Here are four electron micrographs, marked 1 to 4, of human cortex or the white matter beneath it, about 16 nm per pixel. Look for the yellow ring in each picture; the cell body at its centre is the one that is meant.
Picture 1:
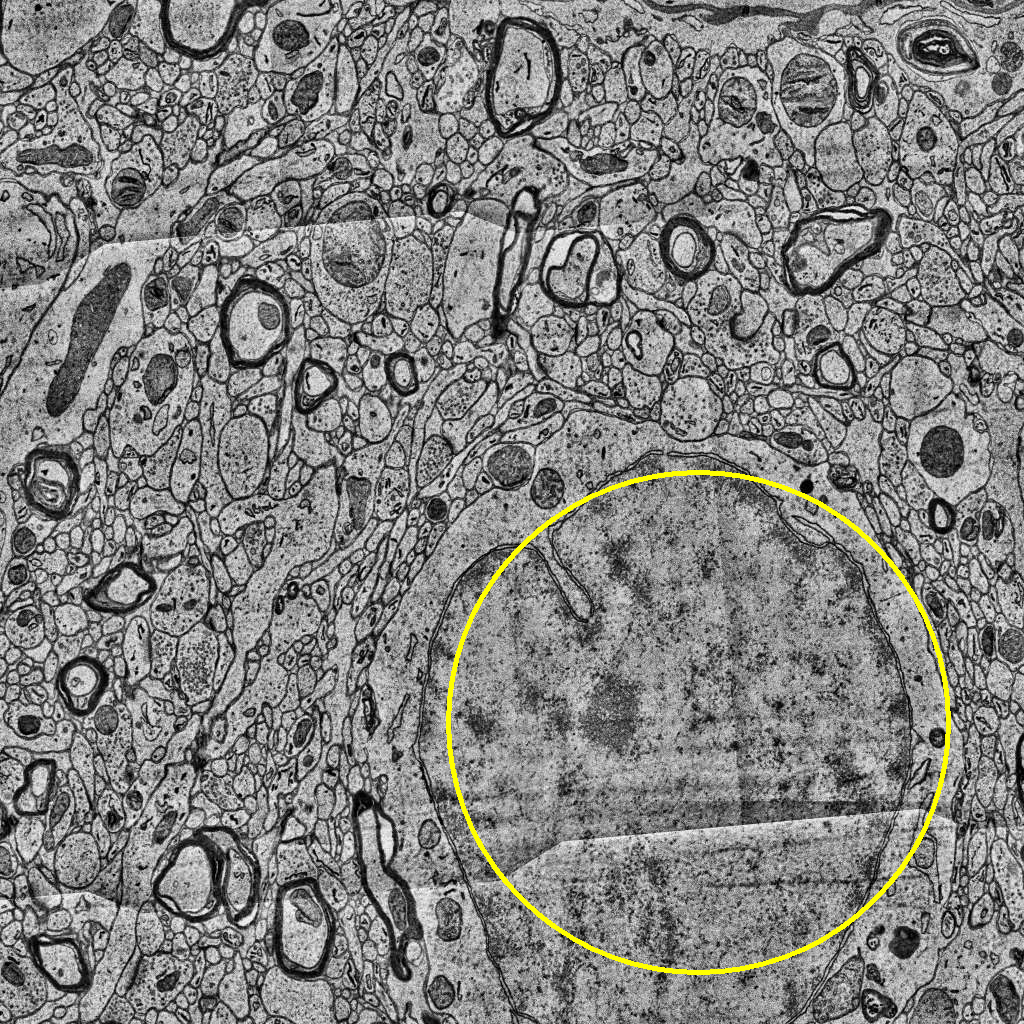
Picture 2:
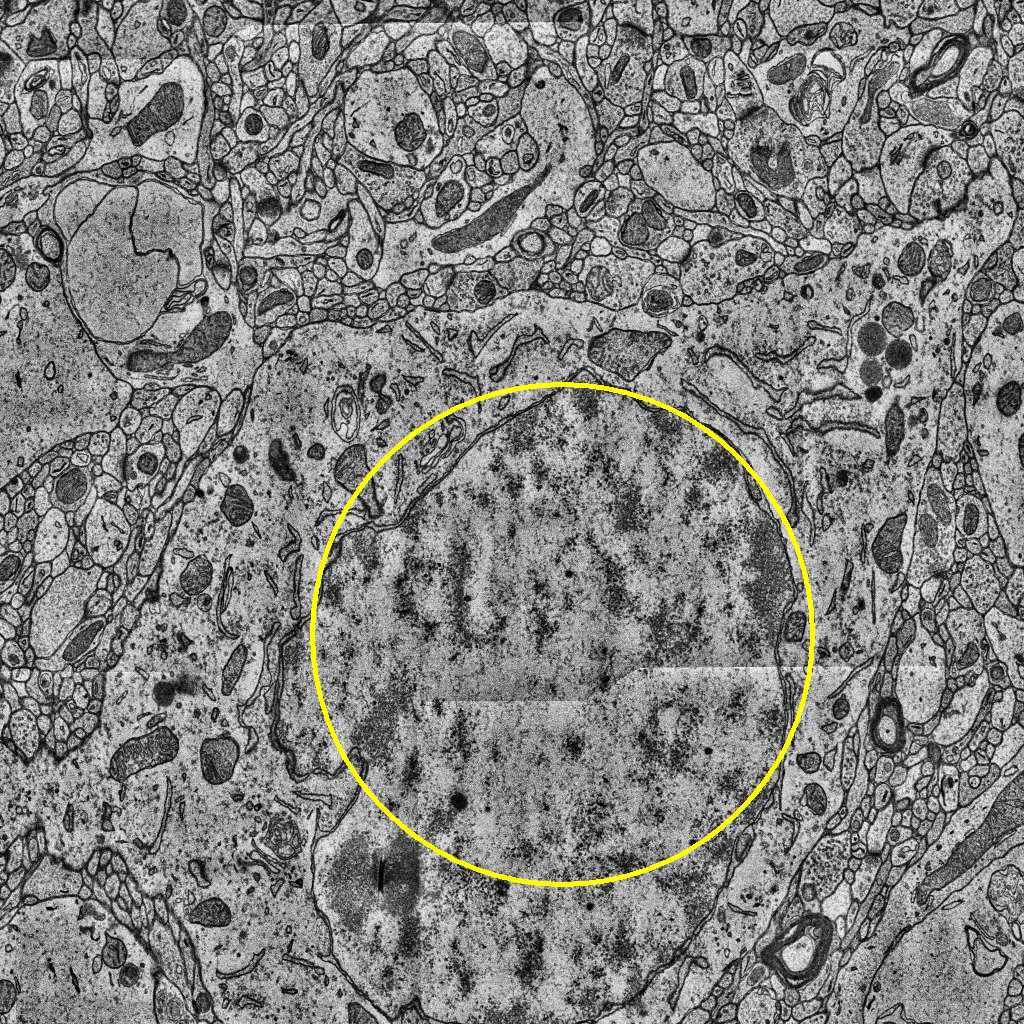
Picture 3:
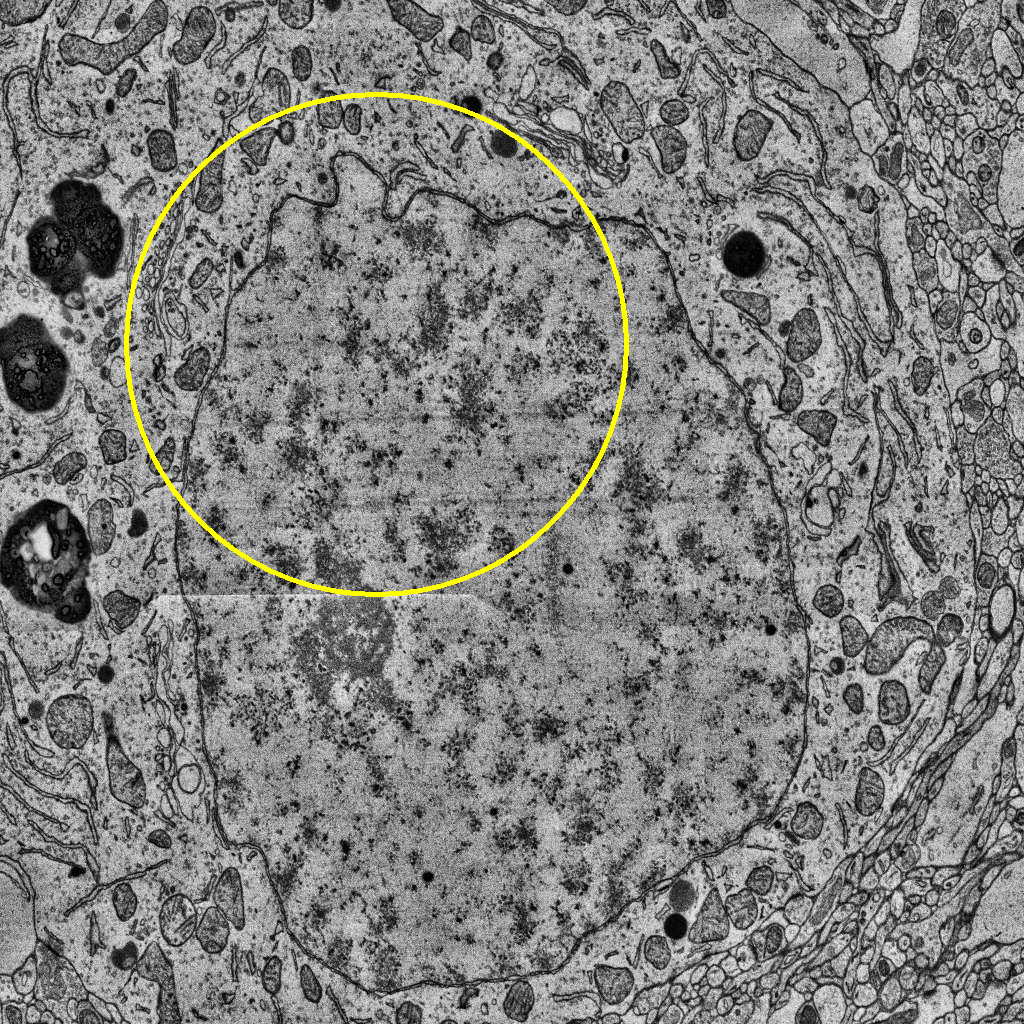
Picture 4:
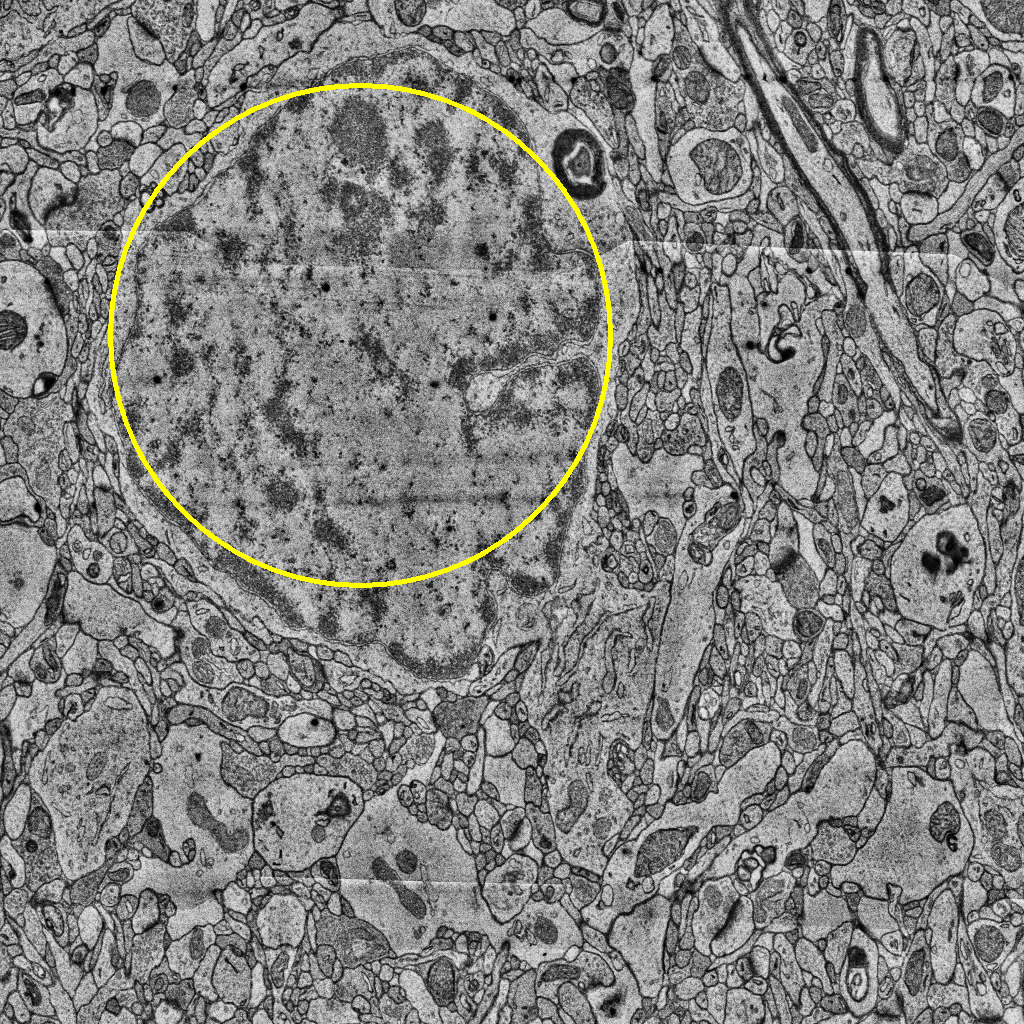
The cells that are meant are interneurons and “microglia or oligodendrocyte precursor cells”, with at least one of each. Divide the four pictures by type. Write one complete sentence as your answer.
Pictures 1, 2 and 3 show interneurons, and picture 4 shows a “microglia or oligodendrocyte precursor cell”.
